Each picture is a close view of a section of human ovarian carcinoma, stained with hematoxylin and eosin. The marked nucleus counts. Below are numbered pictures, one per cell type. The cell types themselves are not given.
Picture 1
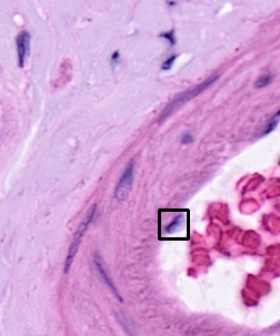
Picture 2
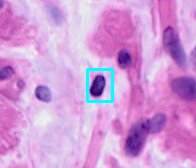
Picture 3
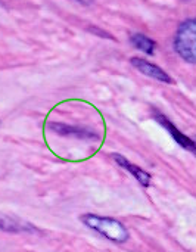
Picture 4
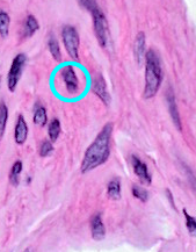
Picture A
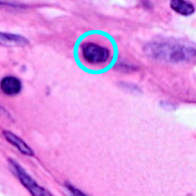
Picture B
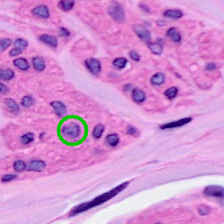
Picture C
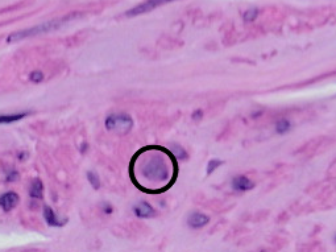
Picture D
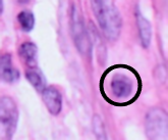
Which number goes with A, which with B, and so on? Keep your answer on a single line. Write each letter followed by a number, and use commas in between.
A 2, B 4, C 4, D 2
